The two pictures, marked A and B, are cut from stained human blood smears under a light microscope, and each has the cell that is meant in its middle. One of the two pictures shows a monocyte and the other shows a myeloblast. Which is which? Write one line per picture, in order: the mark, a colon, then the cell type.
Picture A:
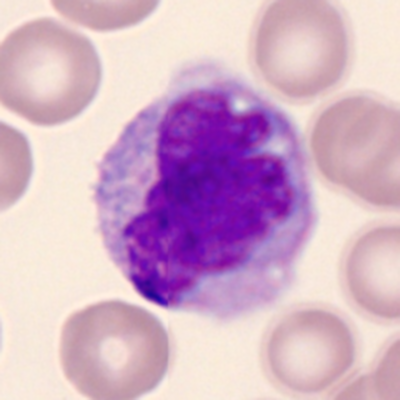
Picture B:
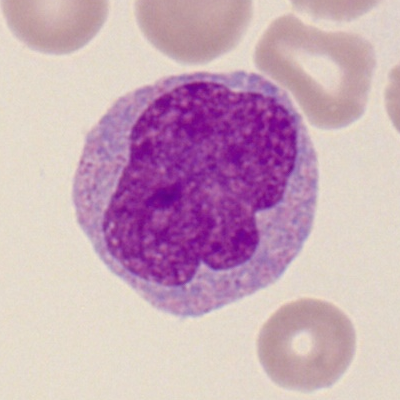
A: monocyte
B: myeloblast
